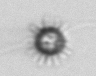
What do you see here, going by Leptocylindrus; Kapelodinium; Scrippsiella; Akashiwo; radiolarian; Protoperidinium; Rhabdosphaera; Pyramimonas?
I see Rhabdosphaera.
